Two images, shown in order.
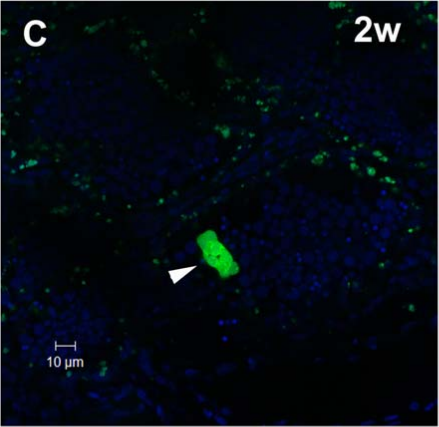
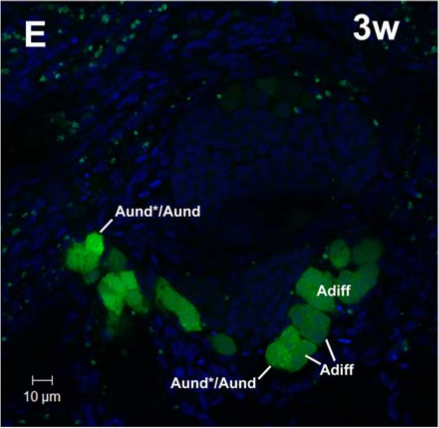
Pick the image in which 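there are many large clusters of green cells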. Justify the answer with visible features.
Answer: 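The second image. Second image: numerous green cell clusters lie along the border of the tissue region. First image: only one small green cluster is present.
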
